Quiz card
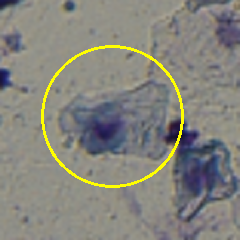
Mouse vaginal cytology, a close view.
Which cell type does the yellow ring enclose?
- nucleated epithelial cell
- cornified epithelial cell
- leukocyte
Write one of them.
nucleated epithelial cell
